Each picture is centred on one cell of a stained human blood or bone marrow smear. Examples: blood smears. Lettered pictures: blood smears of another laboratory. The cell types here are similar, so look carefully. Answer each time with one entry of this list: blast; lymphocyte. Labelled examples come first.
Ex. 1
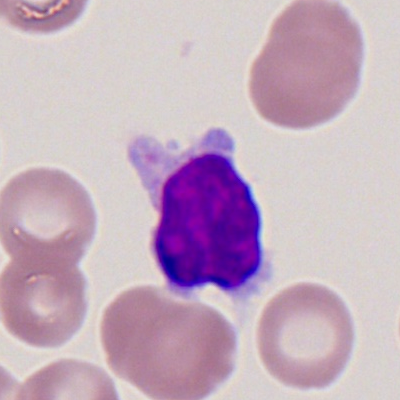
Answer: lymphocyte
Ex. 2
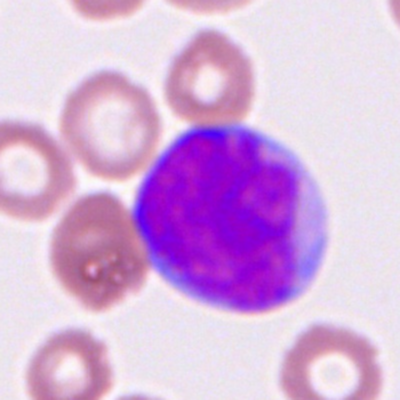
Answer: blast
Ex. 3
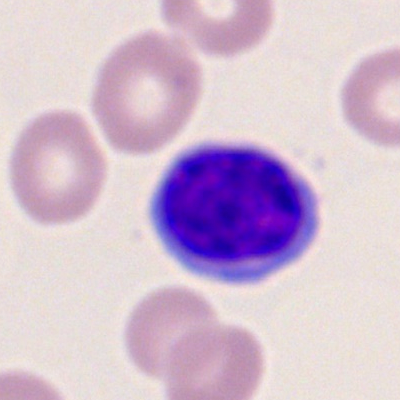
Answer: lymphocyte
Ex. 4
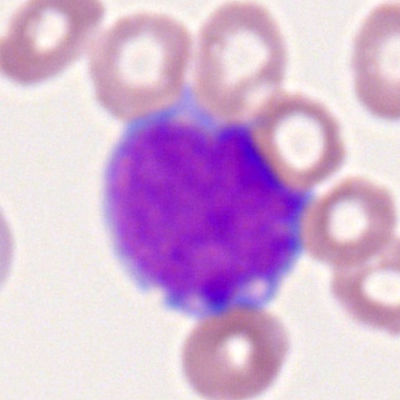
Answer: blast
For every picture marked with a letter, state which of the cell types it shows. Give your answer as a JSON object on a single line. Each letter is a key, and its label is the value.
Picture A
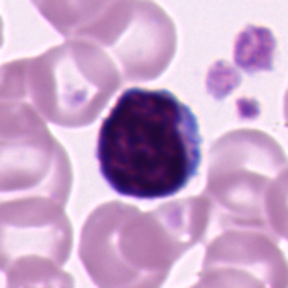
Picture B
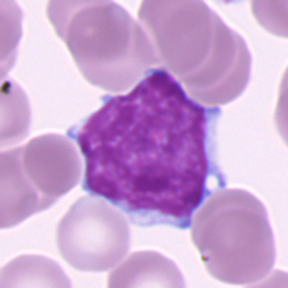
{"A": "lymphocyte", "B": "lymphocyte"}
